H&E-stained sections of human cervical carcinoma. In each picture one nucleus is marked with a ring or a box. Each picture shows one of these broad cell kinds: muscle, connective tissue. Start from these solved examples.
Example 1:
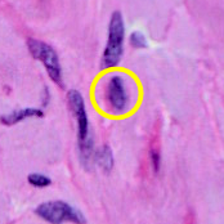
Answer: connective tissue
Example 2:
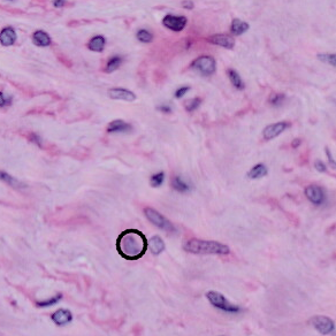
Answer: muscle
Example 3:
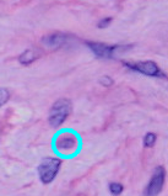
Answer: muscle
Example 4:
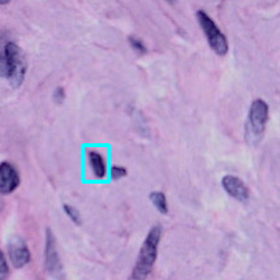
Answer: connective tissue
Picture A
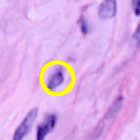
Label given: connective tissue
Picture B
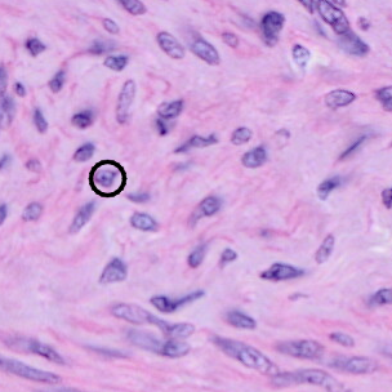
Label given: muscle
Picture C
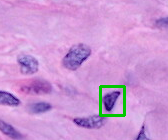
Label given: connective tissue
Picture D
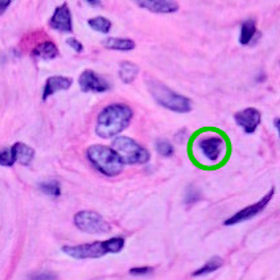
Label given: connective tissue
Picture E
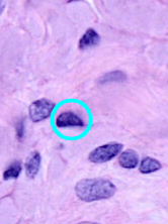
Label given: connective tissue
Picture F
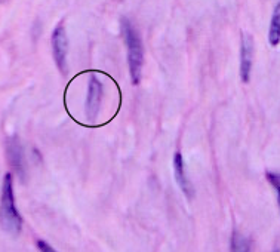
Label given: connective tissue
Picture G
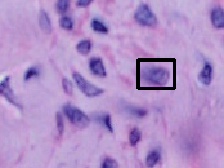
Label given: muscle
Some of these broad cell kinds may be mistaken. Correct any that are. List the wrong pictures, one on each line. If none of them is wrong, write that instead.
All correct.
